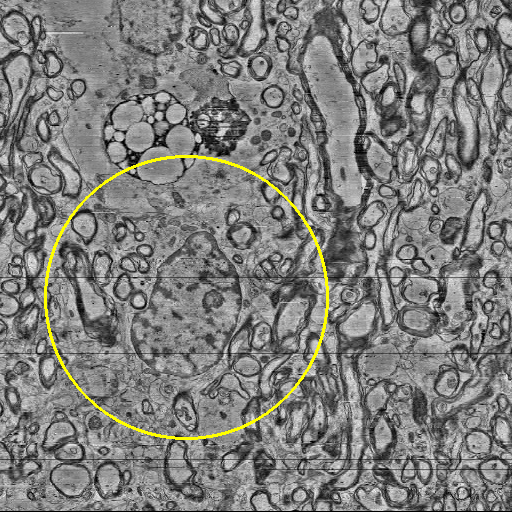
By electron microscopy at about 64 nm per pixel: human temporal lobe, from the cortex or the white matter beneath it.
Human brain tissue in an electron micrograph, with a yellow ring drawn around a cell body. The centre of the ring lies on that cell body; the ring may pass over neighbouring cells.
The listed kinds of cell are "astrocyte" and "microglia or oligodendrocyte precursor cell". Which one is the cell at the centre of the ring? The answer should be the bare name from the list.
microglia or oligodendrocyte precursor cell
